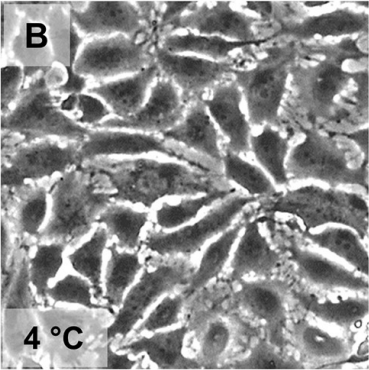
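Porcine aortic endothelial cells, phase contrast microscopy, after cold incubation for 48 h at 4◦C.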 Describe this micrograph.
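Many cells have pulled in and become elongated or spindle-shaped, with strongly refractile bright halos along their margins. Between the cells, gaps have opened, and these spaces are filled with small bright granules and bead-like blebs, so the sheet is no longer continuous.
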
